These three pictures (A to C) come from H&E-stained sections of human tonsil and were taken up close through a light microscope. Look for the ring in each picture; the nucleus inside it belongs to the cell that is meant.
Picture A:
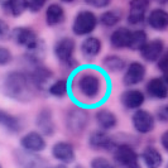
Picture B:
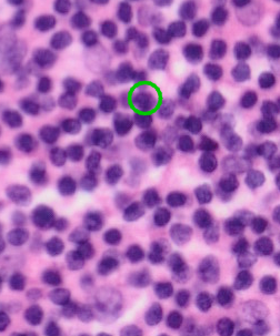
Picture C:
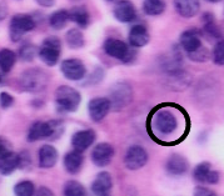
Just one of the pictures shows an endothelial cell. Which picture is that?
C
